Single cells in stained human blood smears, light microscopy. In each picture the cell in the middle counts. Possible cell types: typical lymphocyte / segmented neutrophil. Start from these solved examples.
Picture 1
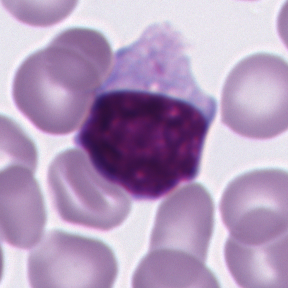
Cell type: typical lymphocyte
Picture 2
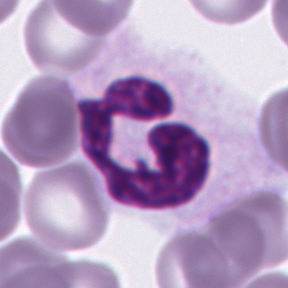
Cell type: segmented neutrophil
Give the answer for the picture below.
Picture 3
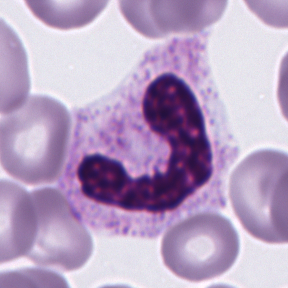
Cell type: segmented neutrophil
